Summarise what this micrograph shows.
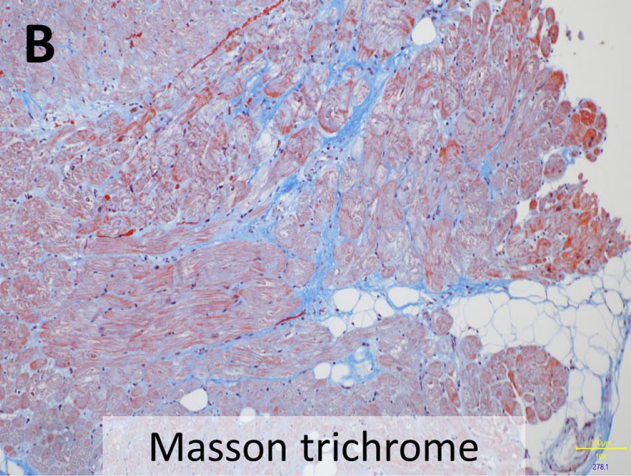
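This section of heart muscle shows red-brown cardiac muscle fibres in bundles separated by blue-stained fibrous tissue. The blue collagen forms broad branching septa running diagonally through the field and finer strands between single fibres. At the right edge lies a group of large empty fat cells with thin walls, wedged between muscle bundles.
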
